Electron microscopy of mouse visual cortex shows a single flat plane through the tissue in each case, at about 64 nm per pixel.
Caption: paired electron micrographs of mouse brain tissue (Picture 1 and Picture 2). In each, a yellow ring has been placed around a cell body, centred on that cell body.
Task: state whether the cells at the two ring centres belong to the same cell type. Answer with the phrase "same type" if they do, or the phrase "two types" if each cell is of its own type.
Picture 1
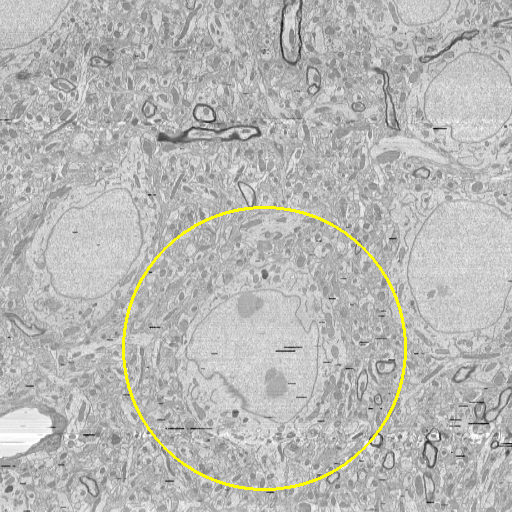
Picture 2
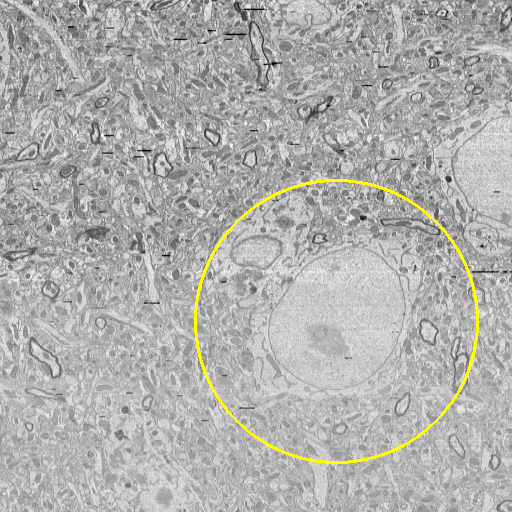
same type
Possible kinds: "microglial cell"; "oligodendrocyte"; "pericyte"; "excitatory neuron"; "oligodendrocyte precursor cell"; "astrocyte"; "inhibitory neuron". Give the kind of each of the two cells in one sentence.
Both the first and the second picture show an excitatory neuron in the ring.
